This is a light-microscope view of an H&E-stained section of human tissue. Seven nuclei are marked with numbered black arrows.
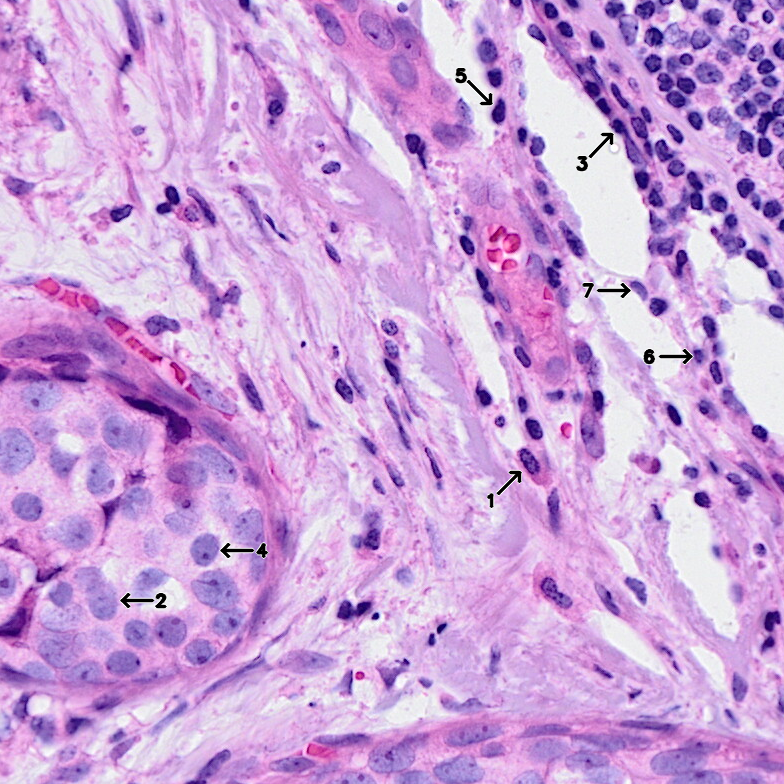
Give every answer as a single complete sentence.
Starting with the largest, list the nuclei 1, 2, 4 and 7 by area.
Going from the biggest nucleus down to the smallest gives 2, 4, 1, 7.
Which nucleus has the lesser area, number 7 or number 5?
Nucleus 7 is the smaller one; nucleus 5 covers about 1.5 times its area.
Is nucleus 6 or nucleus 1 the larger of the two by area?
At about 1.5 times the area of nucleus 6, nucleus 1 is the larger of the two.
